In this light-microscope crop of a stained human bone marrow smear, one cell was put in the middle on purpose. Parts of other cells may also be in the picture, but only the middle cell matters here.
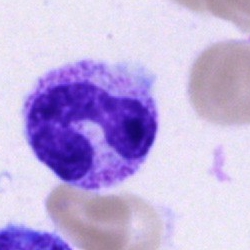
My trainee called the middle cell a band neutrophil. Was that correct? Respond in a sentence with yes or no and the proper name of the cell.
Yes, that middle cell in the crop is a band neutrophil.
